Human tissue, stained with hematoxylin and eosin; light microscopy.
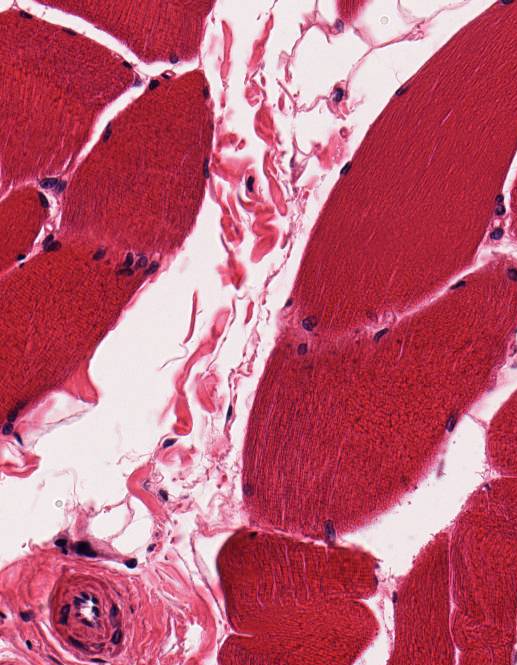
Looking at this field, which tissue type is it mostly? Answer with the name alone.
skeletal muscle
